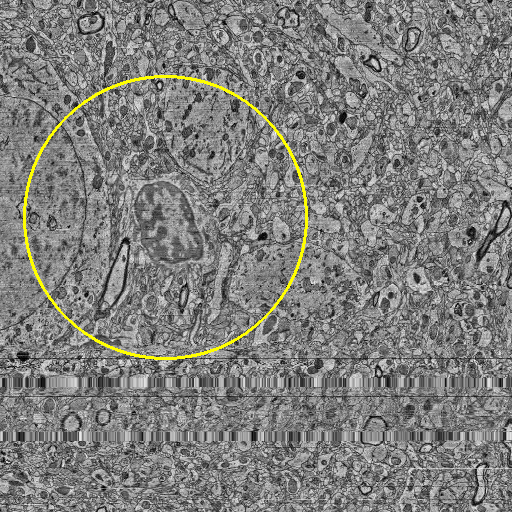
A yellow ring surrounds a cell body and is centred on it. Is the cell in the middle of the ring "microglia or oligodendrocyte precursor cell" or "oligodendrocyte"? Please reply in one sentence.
The ring is centred on a microglial cell or oligodendrocyte precursor cell.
